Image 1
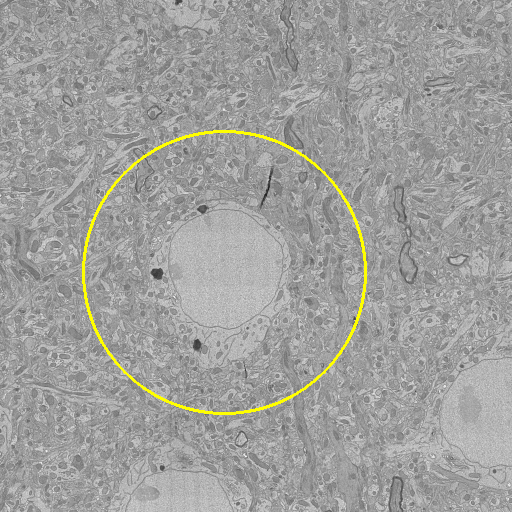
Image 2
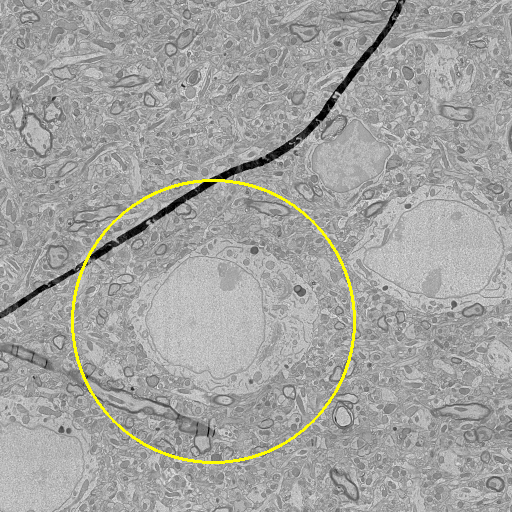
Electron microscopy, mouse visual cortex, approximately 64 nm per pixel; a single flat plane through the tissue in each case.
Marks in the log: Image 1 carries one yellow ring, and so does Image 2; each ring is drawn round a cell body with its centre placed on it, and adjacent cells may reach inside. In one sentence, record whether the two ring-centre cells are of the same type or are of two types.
The two cells at the ring centres, one in each image, are of the same type.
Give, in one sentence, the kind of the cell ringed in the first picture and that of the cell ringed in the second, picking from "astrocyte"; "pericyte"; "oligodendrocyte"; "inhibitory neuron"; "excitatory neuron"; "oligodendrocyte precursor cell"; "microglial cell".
The cell at the ring centre is an excitatory neuron in both pictures.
